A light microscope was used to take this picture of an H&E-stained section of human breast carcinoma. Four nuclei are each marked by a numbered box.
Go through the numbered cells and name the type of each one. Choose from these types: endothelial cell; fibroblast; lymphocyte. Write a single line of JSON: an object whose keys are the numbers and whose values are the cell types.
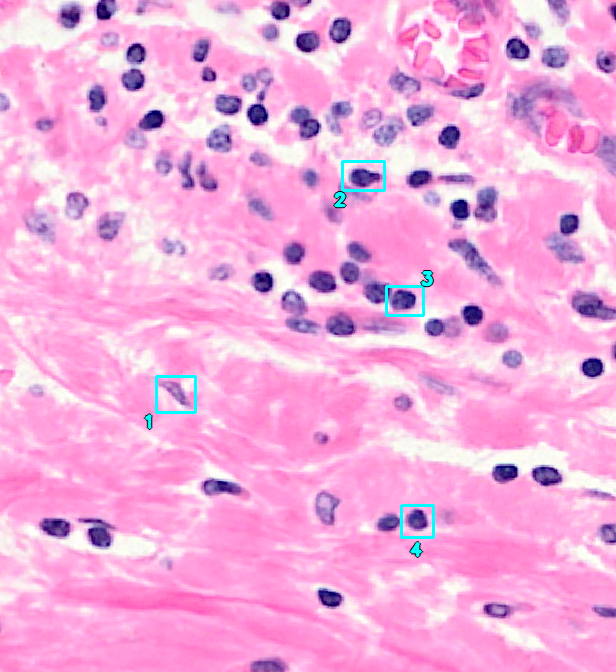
{"1": "fibroblast", "2": "lymphocyte", "3": "lymphocyte", "4": "lymphocyte"}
